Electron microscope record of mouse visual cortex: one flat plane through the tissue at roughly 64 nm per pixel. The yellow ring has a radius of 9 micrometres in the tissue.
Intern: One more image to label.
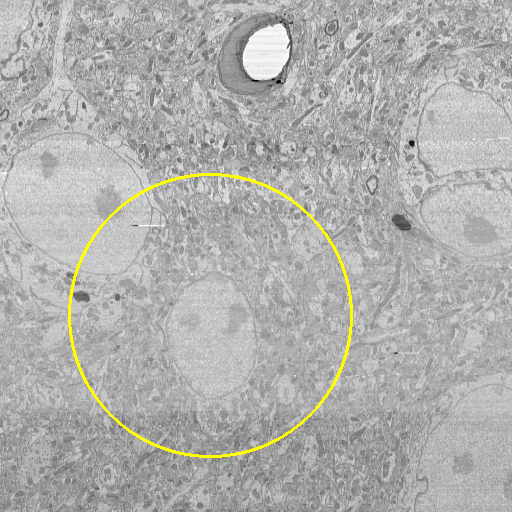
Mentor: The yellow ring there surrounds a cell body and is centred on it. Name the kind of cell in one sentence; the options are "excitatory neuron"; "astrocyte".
The ring marks the cell body of an astrocyte.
